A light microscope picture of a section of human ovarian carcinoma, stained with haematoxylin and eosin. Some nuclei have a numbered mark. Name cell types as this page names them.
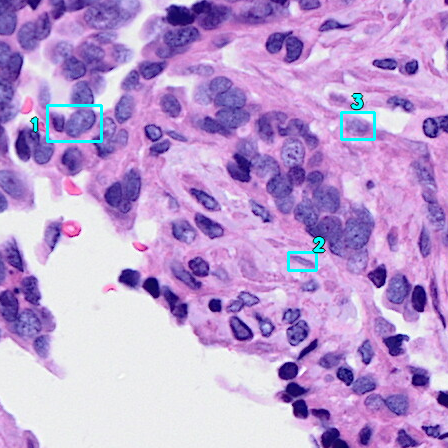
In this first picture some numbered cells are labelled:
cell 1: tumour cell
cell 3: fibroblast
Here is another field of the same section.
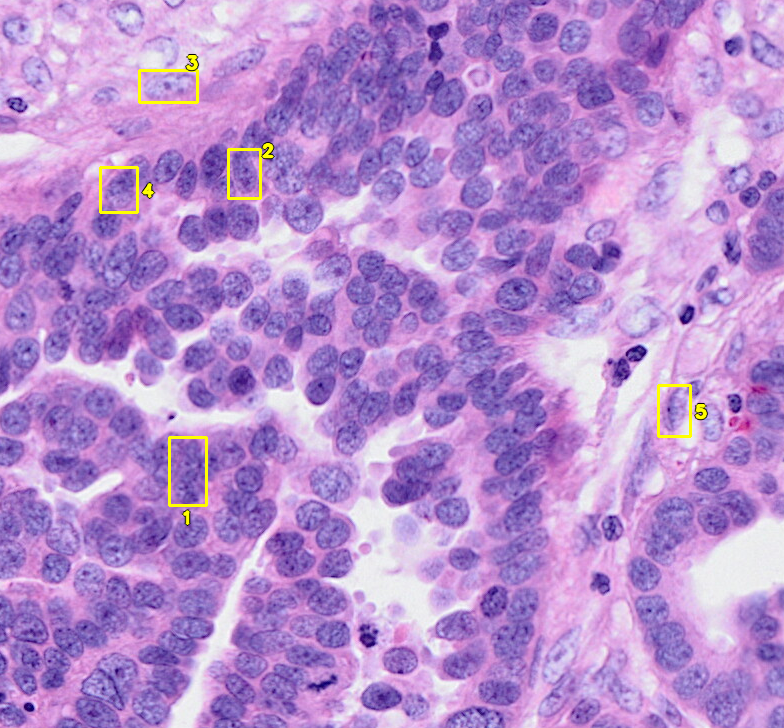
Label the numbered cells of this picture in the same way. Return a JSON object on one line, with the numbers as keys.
{"1": "tumour cell", "2": "tumour cell", "3": "fibroblast", "4": "tumour cell", "5": "fibroblast"}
